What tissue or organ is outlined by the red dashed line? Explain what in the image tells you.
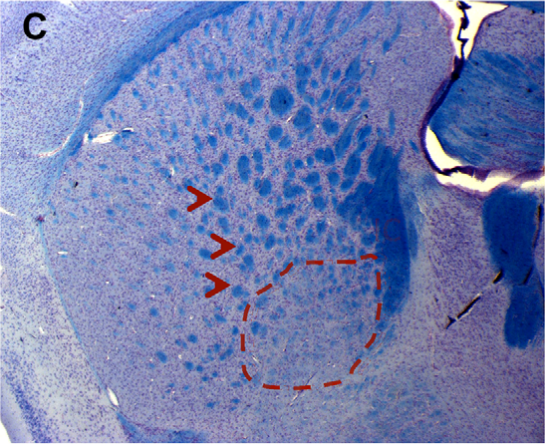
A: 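The outlined region has few blue bundles compared with the region above it. It lies next to a broad dense blue fibre band.
Hence: globus pallidus.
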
